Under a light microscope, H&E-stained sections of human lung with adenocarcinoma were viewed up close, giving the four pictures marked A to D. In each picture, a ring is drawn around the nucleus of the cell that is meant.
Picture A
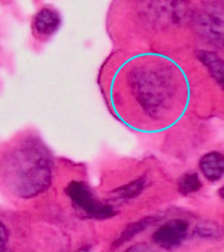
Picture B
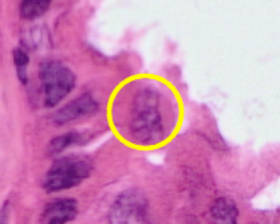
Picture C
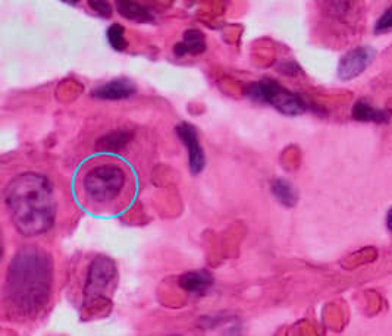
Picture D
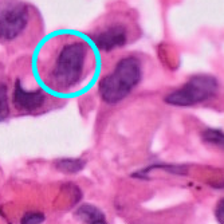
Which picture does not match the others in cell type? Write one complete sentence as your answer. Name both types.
The different one is picture C; it shows a “macrophage or monocyte”, whereas all the others show carcinoma cells.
